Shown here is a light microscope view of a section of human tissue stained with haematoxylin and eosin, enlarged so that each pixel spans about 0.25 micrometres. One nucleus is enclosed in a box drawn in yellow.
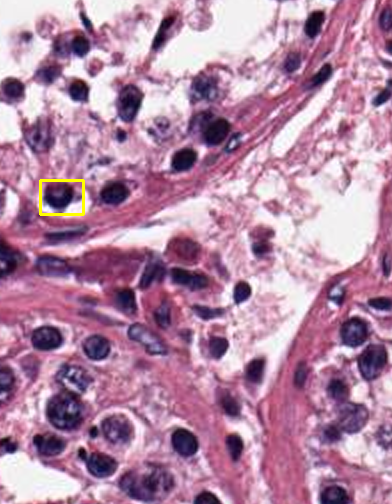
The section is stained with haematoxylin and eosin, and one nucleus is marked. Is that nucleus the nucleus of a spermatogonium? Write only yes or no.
yes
